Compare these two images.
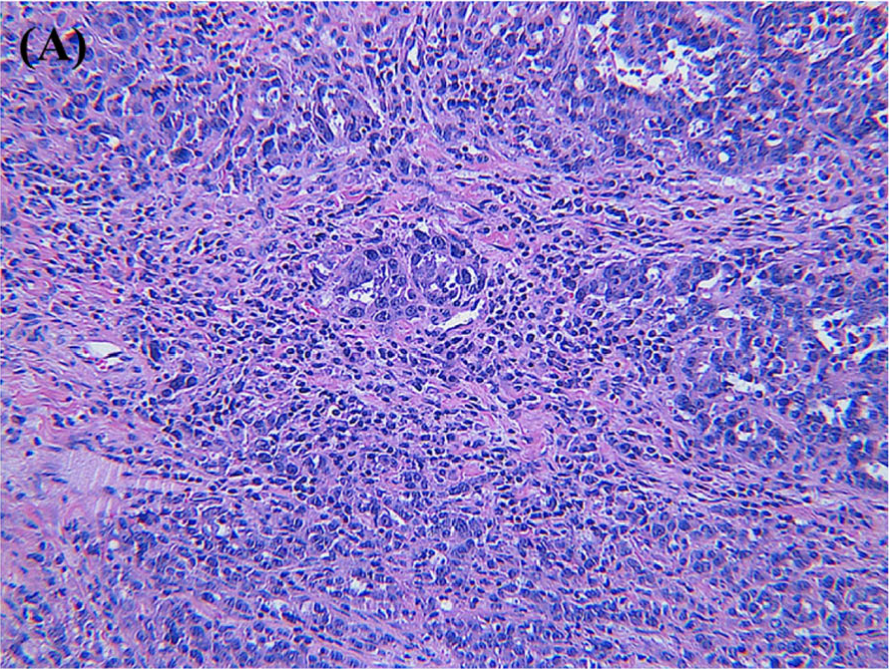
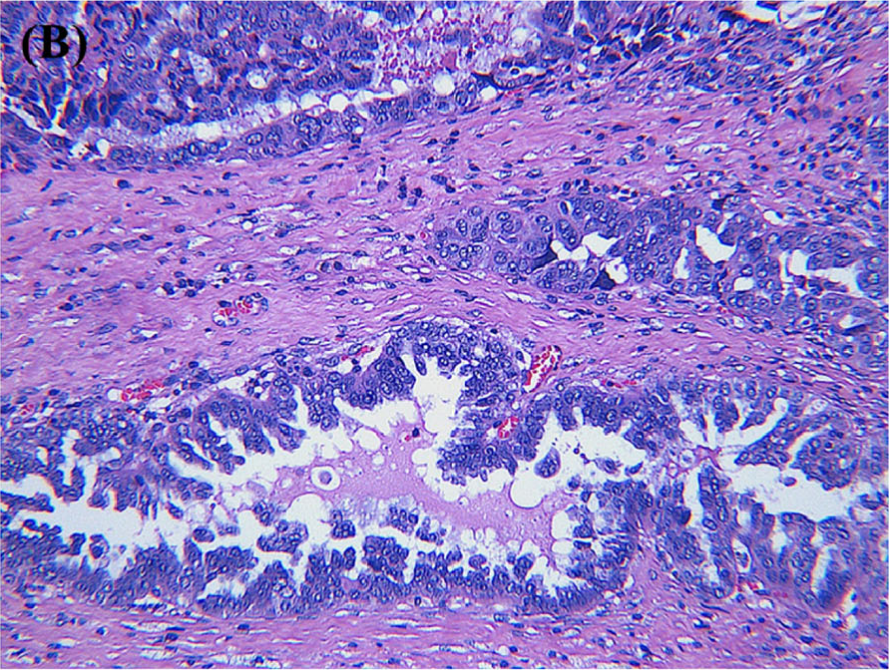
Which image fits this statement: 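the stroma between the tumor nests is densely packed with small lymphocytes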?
the first image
